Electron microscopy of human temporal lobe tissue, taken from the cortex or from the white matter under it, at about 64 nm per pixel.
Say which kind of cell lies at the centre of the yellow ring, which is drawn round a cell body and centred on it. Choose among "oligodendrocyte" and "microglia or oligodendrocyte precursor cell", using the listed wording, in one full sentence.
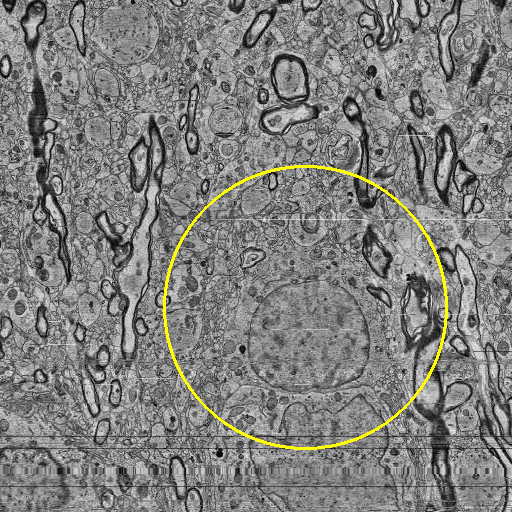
Going by the list, the cell at the yellow ring's centre is an oligodendrocyte.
